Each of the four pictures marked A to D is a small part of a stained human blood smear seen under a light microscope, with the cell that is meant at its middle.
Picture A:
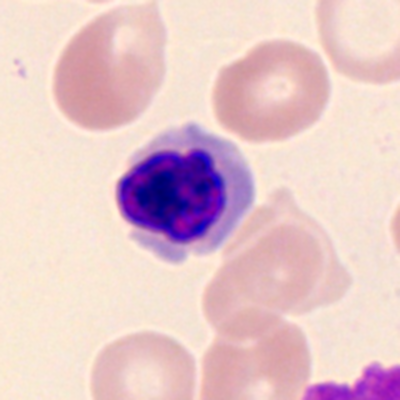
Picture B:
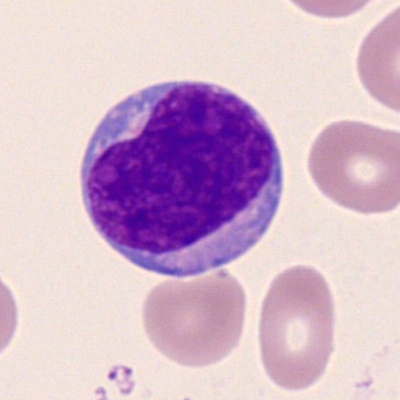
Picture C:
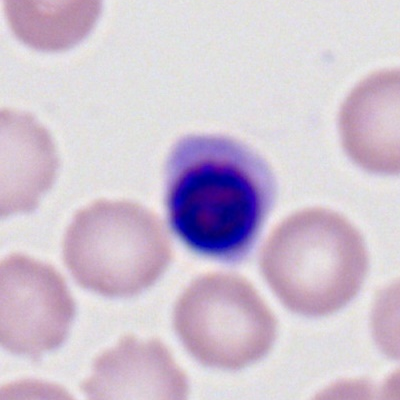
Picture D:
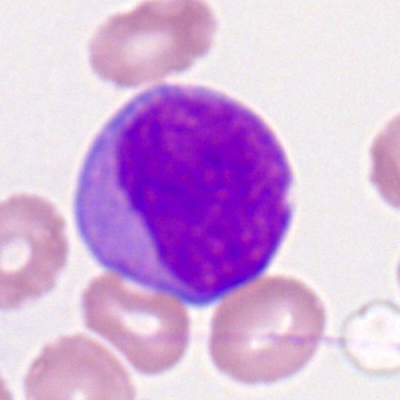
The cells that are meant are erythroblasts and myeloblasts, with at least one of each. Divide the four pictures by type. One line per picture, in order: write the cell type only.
erythroblast
myeloblast
erythroblast
myeloblast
